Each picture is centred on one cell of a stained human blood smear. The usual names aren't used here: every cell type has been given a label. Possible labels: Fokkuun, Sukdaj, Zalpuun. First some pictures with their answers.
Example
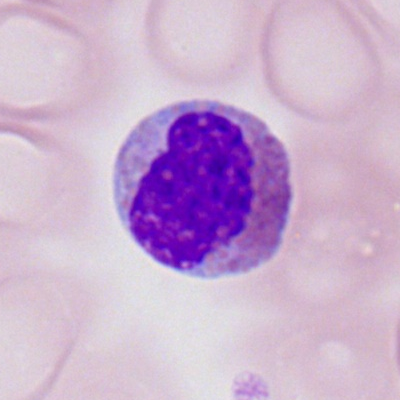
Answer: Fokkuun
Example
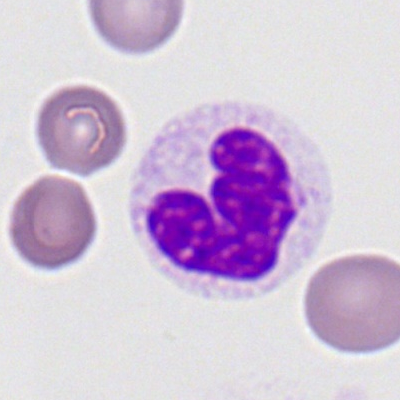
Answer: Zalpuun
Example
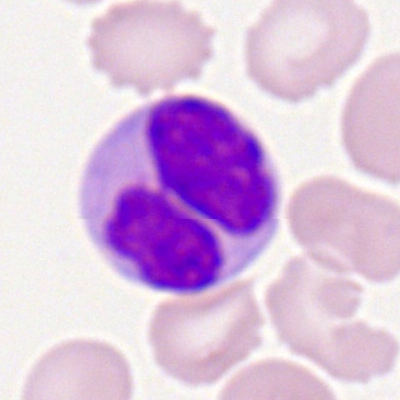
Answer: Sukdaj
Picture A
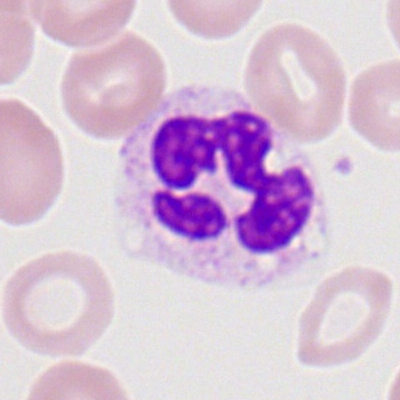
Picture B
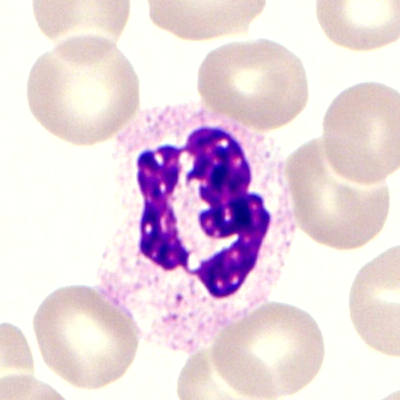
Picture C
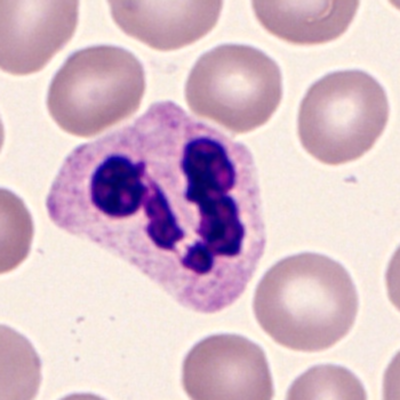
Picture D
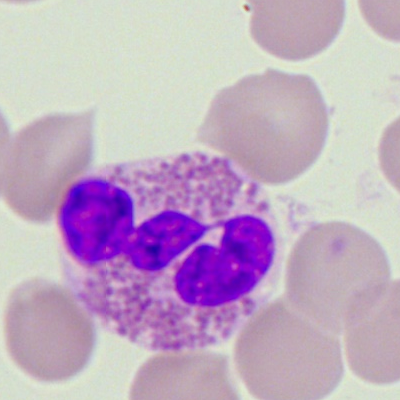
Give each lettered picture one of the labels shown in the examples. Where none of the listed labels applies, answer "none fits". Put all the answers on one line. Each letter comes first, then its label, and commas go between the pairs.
A Zalpuun, B Zalpuun, C Zalpuun, D Fokkuun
